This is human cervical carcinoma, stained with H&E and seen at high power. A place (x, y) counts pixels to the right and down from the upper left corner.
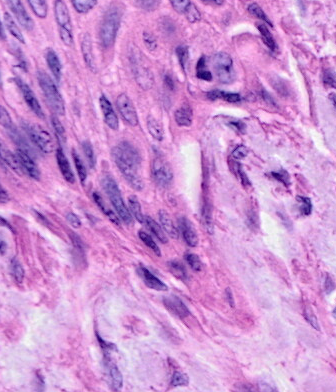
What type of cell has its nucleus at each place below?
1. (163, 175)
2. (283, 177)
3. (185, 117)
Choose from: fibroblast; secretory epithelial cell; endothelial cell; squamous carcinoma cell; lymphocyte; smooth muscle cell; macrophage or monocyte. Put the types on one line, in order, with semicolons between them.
squamous carcinoma cell; fibroblast; squamous carcinoma cell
